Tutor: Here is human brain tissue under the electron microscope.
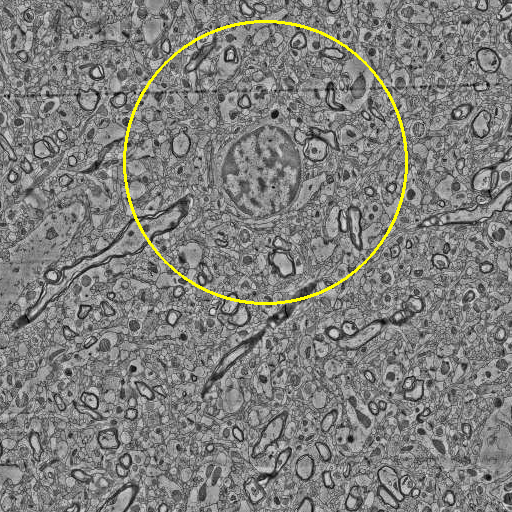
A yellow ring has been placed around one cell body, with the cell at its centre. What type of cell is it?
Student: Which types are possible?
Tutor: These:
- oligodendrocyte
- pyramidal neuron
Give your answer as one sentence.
What the ring picks out here is an oligodendrocyte.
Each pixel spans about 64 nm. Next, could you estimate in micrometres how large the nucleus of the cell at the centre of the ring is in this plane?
The nucleus measures about 6 by 5 micrometres in this plane.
